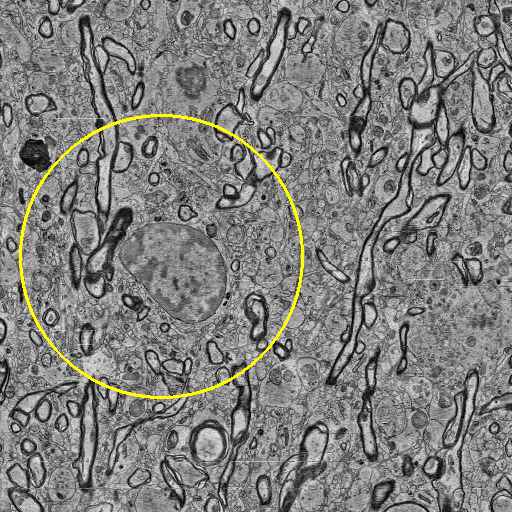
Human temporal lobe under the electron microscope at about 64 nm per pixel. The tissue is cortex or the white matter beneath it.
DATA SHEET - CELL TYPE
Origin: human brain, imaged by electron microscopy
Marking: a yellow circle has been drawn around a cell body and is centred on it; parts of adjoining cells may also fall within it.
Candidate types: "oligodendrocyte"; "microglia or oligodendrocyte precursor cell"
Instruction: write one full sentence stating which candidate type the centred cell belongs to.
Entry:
The cell body at the centre of the yellow ring in this micrograph belongs to a microglial cell or oligodendrocyte precursor cell.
